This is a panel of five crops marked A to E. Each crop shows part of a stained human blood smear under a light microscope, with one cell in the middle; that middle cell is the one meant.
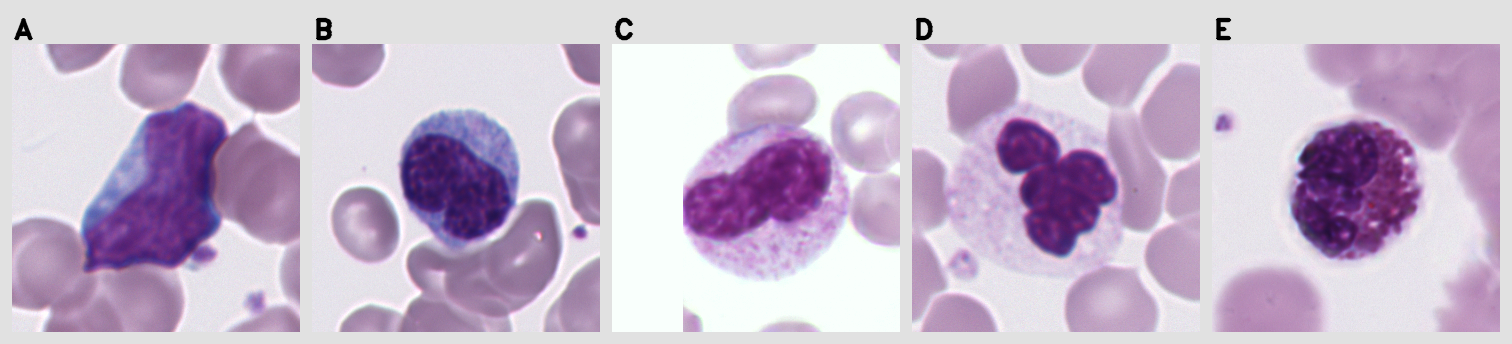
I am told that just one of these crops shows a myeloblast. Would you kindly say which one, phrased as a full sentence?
That would be crop A; it shows a myeloblast.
